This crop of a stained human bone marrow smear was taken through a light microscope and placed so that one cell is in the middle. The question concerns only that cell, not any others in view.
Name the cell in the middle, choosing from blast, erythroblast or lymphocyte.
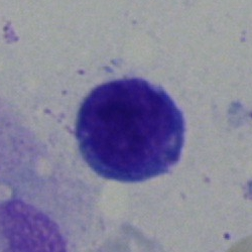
lymphocyte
